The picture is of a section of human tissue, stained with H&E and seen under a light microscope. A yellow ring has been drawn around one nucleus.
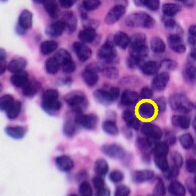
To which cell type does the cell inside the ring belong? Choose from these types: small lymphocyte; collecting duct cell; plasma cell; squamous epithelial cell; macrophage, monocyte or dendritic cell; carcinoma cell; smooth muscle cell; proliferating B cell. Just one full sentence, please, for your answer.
In this tissue sample, the cell inside the ring is a small lymphocyte.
